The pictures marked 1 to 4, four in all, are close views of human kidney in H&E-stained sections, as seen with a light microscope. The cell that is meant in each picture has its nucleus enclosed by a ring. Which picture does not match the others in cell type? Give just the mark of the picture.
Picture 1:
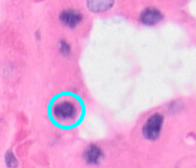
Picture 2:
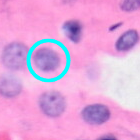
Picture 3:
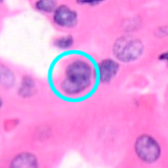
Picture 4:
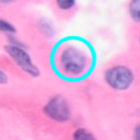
3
